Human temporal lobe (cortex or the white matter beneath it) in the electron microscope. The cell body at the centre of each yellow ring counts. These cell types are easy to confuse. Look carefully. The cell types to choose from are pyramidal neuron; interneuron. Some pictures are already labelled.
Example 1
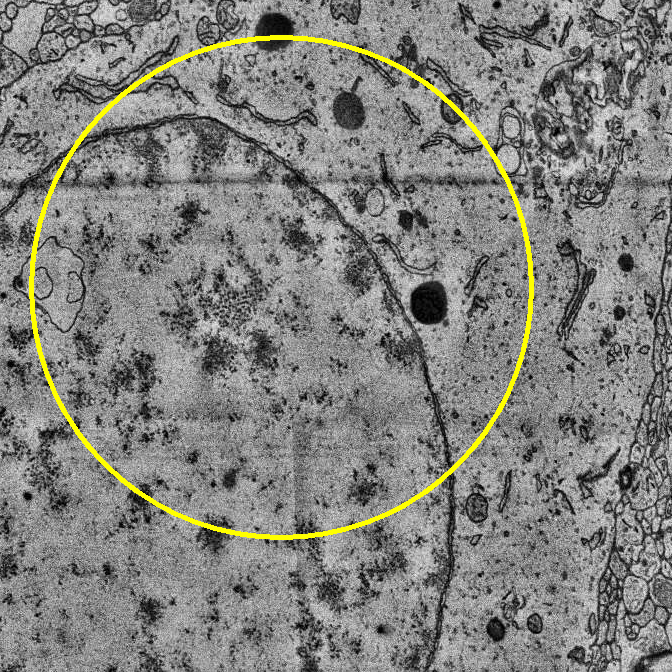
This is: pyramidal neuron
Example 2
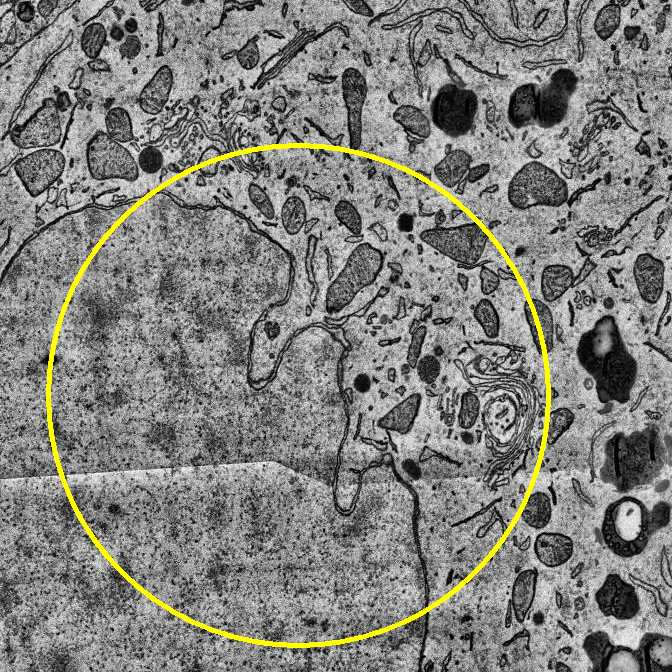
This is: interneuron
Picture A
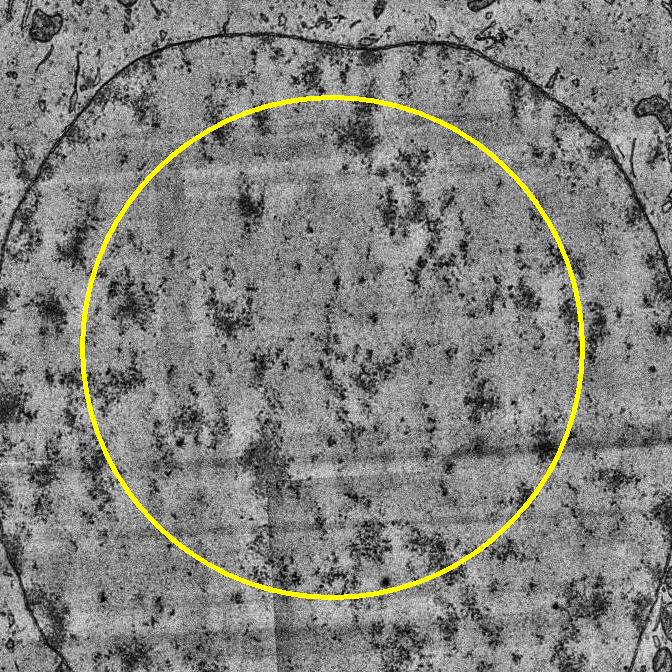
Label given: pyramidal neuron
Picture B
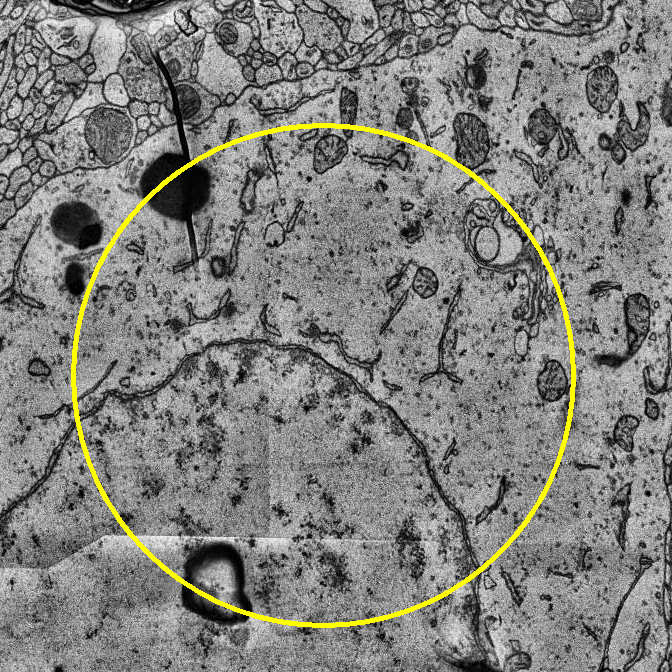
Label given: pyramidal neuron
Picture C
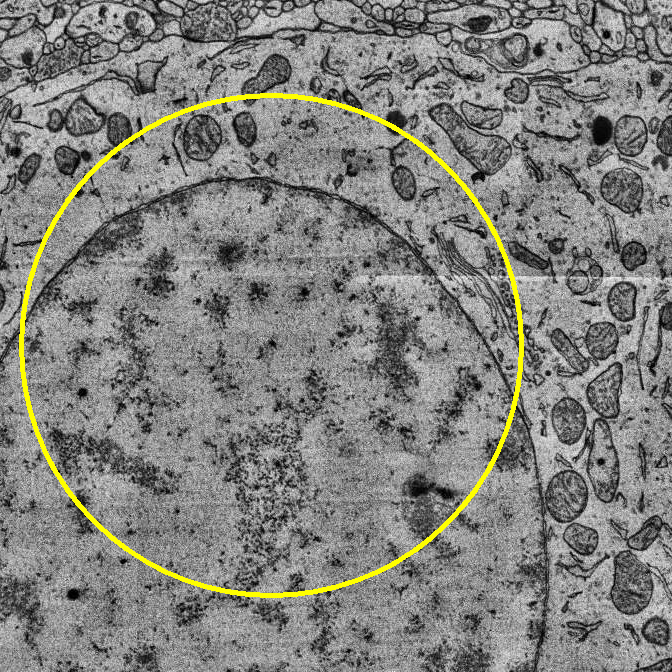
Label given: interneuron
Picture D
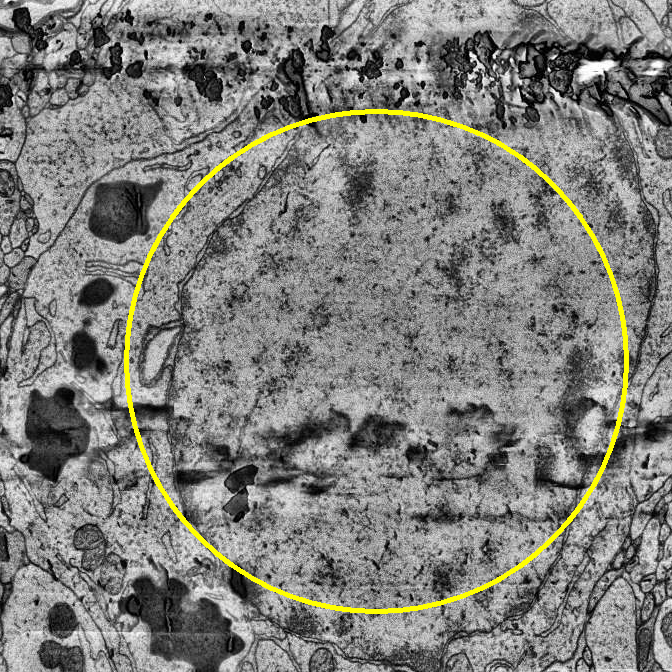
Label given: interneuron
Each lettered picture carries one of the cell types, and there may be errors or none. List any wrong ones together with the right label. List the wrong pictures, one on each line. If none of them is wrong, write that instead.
No label is wrong.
